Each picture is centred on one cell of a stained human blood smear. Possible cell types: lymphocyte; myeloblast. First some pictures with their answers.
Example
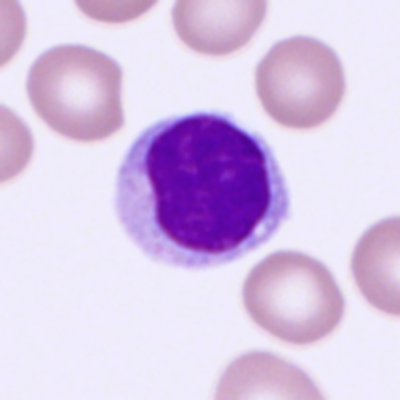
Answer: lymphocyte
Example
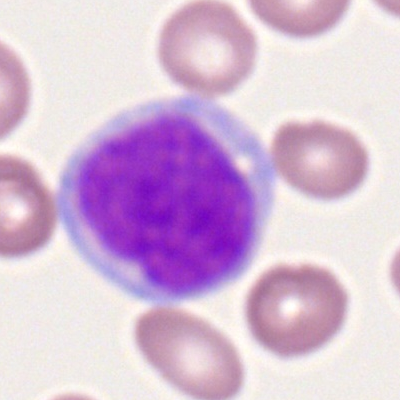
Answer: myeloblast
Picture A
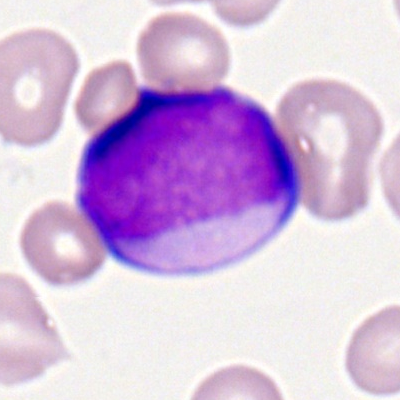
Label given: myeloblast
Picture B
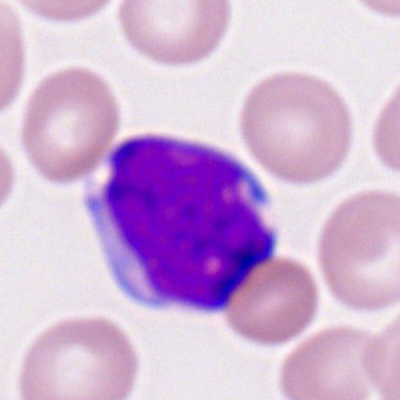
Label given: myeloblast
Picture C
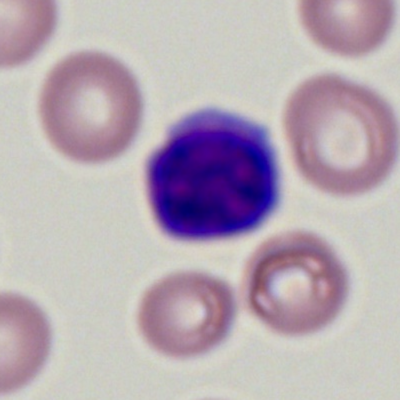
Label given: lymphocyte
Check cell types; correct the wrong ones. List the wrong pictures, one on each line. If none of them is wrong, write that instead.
Every label is right.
